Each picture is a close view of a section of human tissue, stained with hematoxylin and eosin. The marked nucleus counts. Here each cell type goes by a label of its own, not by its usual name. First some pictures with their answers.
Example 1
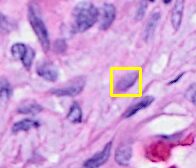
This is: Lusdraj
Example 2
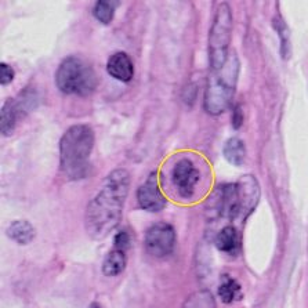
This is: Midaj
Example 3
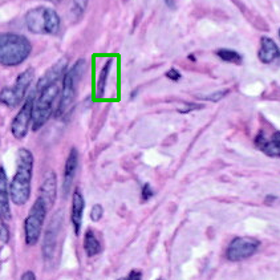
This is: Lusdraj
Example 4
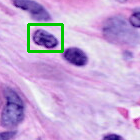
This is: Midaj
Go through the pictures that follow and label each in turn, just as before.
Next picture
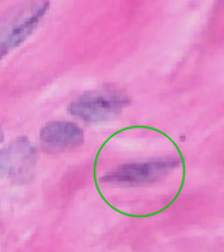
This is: Lusdraj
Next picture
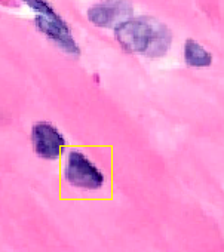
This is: Midaj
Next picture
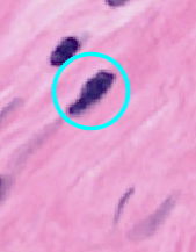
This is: Midaj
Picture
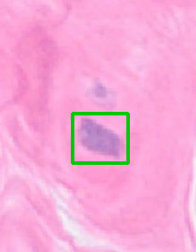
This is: Lusdraj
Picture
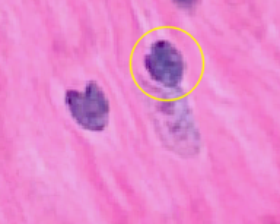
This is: Midaj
